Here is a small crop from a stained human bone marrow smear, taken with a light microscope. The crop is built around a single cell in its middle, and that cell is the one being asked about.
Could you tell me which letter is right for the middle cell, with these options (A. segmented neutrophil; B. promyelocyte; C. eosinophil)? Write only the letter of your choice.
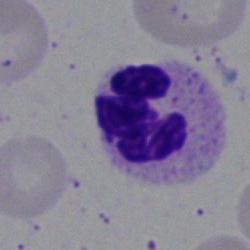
A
